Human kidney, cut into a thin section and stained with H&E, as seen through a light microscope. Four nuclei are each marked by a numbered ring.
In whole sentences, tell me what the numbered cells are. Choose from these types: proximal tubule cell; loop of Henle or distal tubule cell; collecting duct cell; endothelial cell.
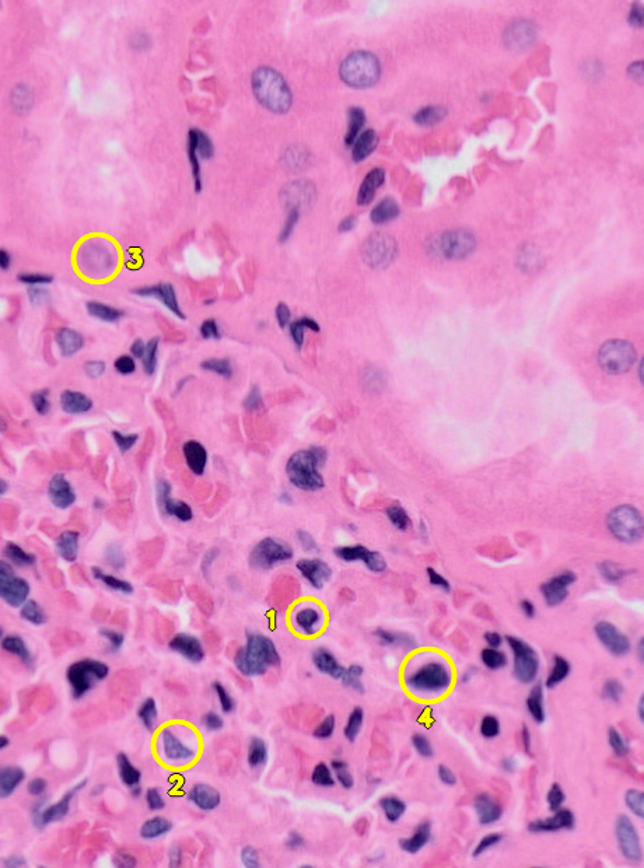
Cell 1 is an endothelial cell, cell 2 is an endothelial cell, cell 3 is a proximal tubule cell and cell 4 is an endothelial cell.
